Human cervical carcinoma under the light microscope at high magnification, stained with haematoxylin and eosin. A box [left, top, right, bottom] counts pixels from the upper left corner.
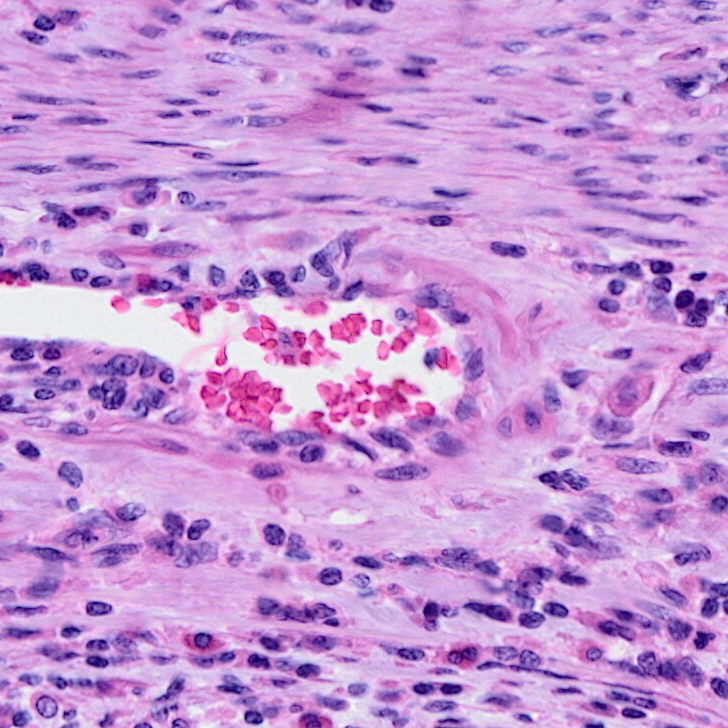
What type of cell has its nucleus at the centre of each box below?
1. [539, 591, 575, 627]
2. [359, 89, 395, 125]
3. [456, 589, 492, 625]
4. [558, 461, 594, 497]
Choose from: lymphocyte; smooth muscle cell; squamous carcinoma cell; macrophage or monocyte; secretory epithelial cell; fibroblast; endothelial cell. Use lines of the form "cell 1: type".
cell 1: lymphocyte
cell 2: fibroblast
cell 3: lymphocyte
cell 4: lymphocyte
